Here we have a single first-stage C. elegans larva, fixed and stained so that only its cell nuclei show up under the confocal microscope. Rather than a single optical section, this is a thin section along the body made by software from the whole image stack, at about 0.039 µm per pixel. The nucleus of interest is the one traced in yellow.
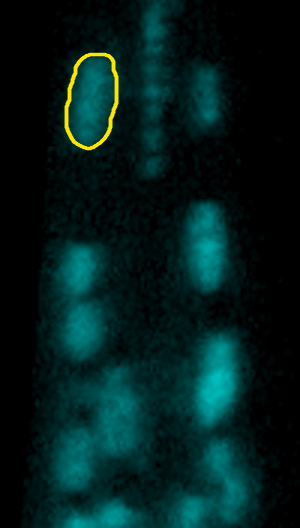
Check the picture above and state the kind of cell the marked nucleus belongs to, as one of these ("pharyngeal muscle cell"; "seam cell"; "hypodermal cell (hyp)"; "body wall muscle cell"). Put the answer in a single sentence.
This is the nucleus of a hypodermal cell (hyp).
